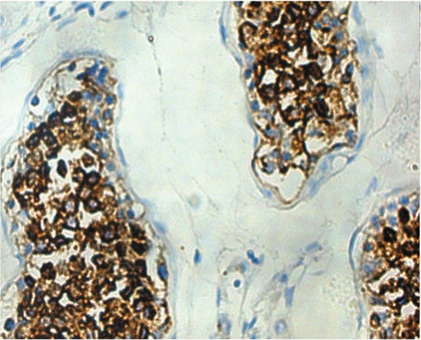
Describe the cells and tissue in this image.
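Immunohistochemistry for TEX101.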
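This is normal testis cut across several seminiferous tubules, with the cells filling the tubules stained an intense dark brown. Each tubule is rimmed by a thin wall carrying a few flattened blue nuclei at its edge. Between the tubules lies pale, loose interstitial tissue with only scattered small blue nuclei and no brown stain.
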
